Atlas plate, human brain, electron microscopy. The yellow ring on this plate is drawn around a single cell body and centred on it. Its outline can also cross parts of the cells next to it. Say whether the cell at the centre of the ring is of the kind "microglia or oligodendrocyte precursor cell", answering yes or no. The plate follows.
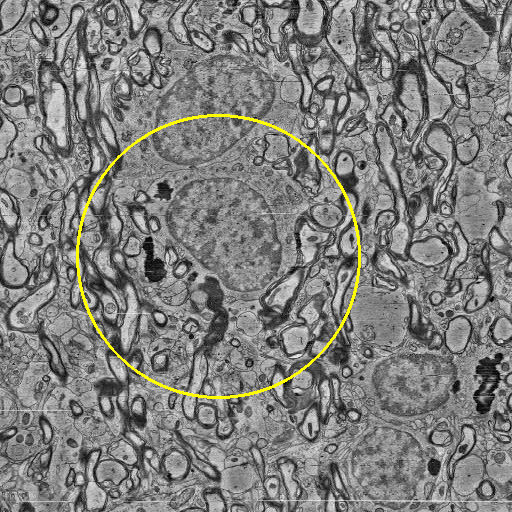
No, the cell is of another kind.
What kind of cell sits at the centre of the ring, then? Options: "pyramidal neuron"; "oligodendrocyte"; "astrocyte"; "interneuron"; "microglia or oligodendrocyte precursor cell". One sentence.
The cell ringed in the picture is an oligodendrocyte.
